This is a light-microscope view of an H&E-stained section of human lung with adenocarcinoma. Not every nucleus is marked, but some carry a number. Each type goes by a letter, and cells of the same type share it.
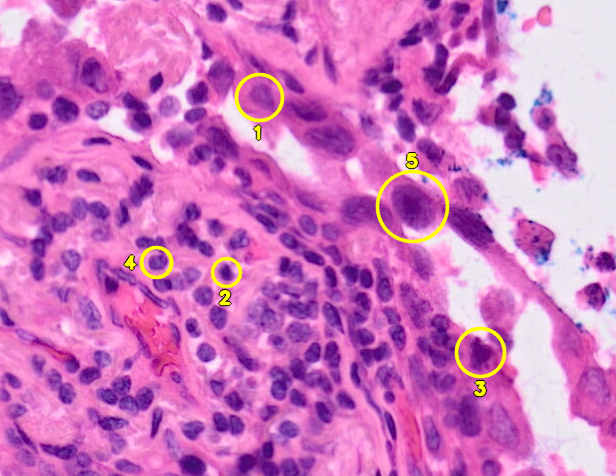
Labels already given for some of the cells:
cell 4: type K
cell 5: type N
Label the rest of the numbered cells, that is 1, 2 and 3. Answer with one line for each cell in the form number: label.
1: type N
2: type K
3: type N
